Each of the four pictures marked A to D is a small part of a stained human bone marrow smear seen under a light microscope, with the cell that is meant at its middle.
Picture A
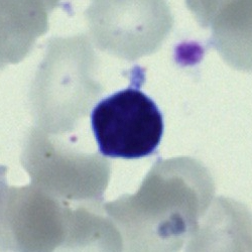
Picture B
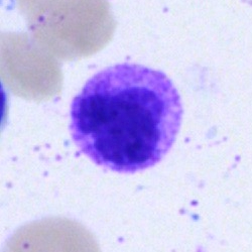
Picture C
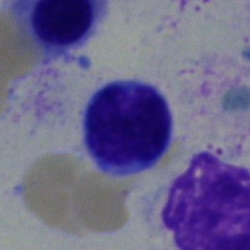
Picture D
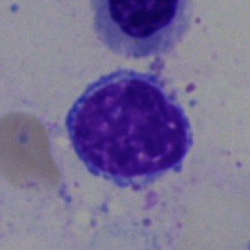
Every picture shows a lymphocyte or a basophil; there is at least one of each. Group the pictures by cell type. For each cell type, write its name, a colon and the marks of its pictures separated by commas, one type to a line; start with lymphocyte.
lymphocyte: A, C, D
basophil: B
